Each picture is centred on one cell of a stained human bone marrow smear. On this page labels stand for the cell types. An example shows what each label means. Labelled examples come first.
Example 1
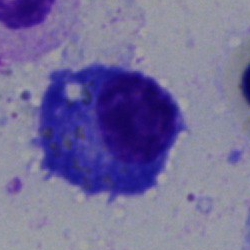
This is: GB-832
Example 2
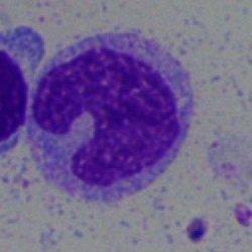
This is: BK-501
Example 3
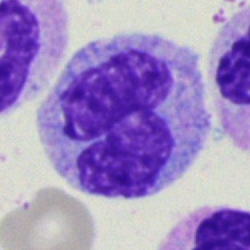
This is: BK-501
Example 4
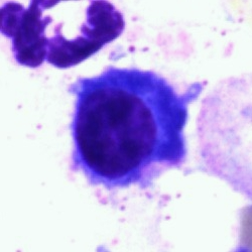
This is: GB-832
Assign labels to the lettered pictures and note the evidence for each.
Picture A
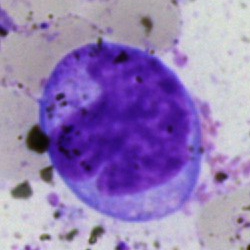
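BK-501: The nucleus fills most of the cell.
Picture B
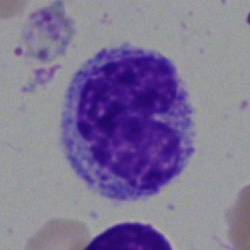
BK-501: The nucleus fills most of the cell.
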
